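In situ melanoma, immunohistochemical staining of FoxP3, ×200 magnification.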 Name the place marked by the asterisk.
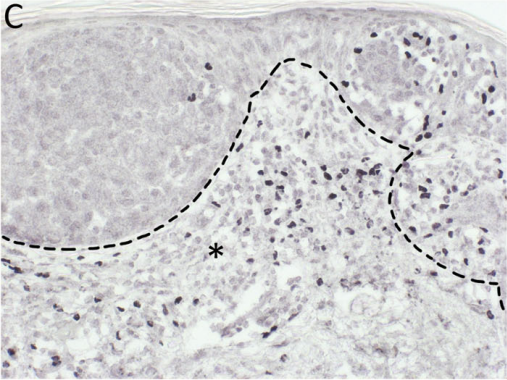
Stromal compartment of the tumor.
